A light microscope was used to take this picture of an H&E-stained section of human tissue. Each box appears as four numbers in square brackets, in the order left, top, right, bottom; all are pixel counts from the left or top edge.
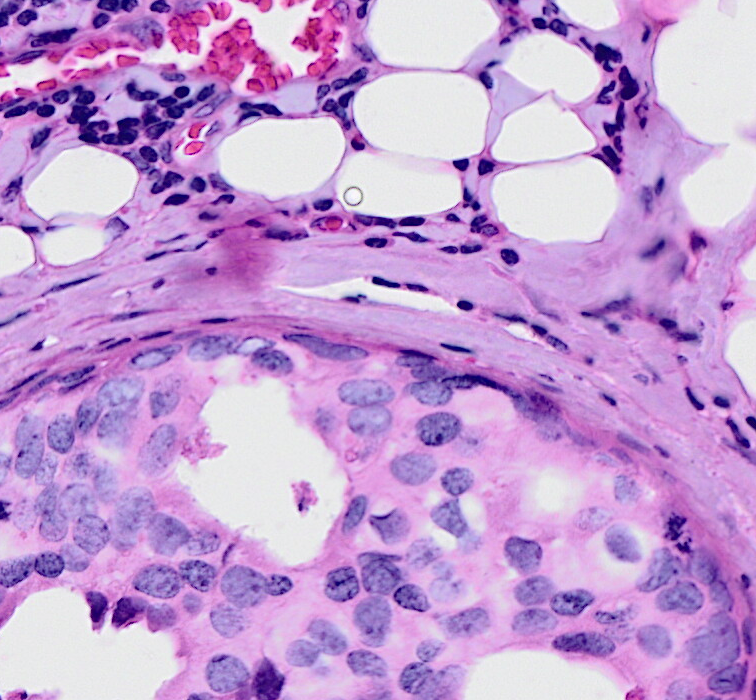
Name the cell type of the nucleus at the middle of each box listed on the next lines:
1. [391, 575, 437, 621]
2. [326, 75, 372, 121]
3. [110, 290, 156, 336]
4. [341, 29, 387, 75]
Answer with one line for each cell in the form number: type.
1: carcinoma cell
2: lymphocyte
3: fibroblast
4: endothelial cell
